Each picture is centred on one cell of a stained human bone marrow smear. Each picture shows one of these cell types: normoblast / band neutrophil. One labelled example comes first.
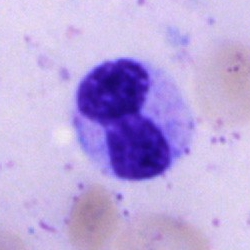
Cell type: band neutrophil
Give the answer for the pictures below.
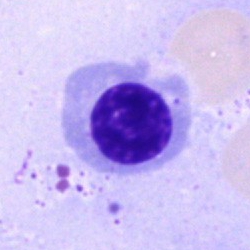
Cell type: normoblast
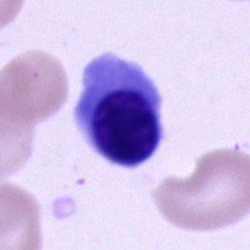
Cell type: normoblast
